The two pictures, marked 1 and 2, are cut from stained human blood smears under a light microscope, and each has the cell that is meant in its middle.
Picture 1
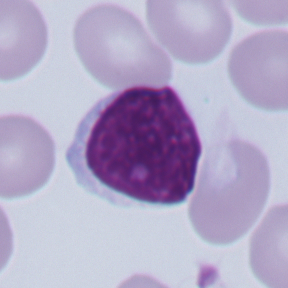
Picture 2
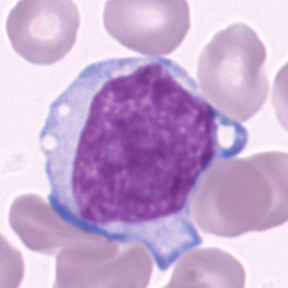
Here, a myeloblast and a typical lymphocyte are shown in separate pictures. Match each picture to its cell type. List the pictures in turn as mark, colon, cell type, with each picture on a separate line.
1: typical lymphocyte
2: myeloblast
